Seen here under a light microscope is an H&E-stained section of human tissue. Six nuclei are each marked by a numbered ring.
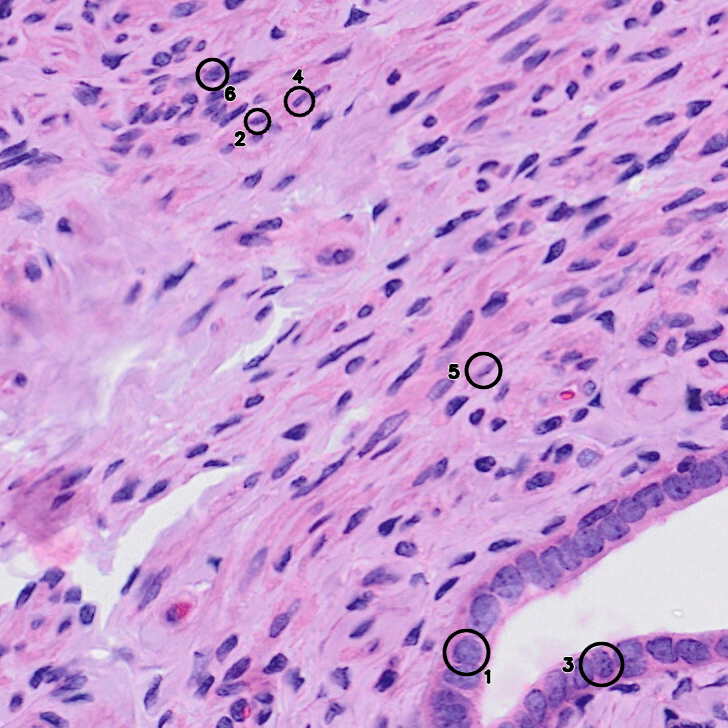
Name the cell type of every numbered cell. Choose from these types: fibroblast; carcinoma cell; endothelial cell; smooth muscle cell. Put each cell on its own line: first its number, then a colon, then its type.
1: carcinoma cell
2: smooth muscle cell
3: carcinoma cell
4: smooth muscle cell
5: smooth muscle cell
6: smooth muscle cell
